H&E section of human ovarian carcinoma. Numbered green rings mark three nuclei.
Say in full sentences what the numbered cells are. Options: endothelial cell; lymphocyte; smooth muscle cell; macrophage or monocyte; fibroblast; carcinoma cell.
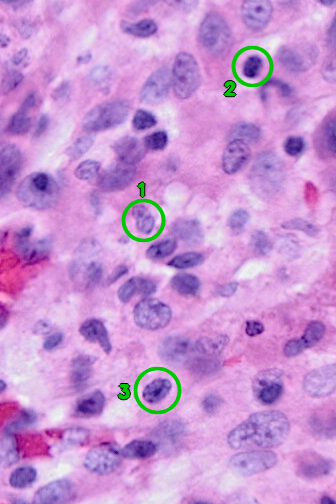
Cell 1 is a macrophage or monocyte. Cells 2 and 3 are lymphocytes.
